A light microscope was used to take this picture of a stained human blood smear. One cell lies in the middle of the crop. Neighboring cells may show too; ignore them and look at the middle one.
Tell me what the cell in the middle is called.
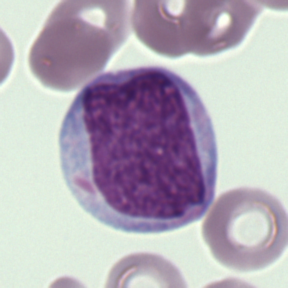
atypical promyelocyte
